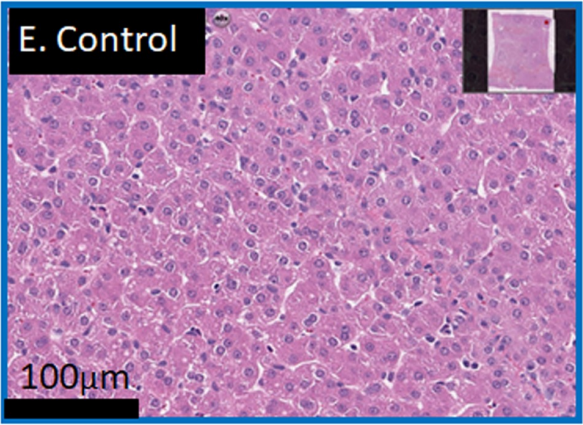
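This is liver tissue made up of hepatocytes arranged in plates. The cells are polygonal with pink cytoplasm and round, centrally placed purple nuclei, some with a visible nucleolus. Between the plates run narrow, slit-like clear sinusoids. The cells sit closely packed and evenly spaced, giving an orderly, uniform appearance across the field.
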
